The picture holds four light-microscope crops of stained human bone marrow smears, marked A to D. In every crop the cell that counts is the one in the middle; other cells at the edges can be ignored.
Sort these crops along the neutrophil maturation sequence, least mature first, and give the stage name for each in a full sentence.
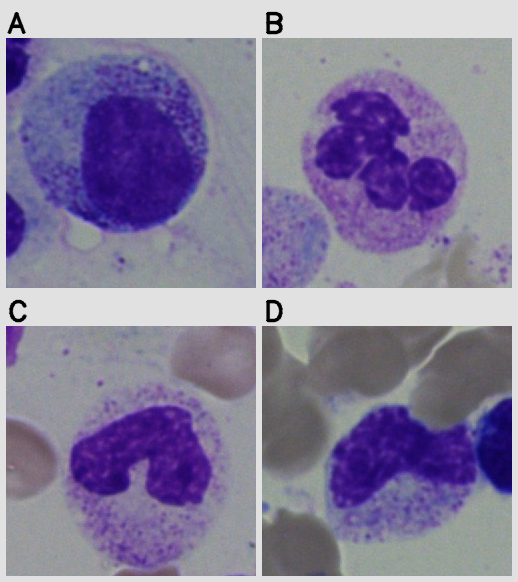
The proper maturity order, starting from the least mature, is crop A (a myelocyte), crop D (a metamyelocyte), crop C (a band neutrophil) and crop B (a segmented neutrophil).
